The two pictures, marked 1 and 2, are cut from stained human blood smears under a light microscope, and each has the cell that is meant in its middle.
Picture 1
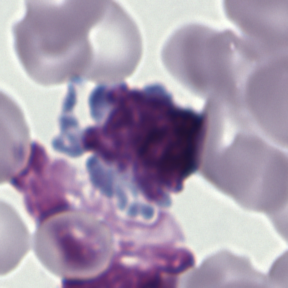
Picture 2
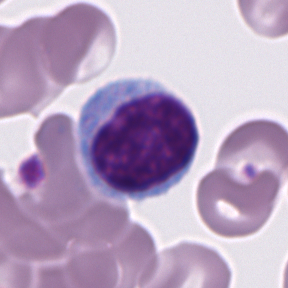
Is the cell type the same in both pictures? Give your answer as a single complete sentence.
Yes, the two pictures both show typical lymphocytes.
